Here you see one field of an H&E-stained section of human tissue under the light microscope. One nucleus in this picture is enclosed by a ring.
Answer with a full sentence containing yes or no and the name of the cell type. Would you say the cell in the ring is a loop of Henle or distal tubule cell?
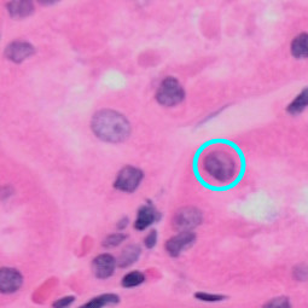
No; the cell in the ring should be labelled a proximal tubule cell rather than a loop of Henle or distal tubule cell.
